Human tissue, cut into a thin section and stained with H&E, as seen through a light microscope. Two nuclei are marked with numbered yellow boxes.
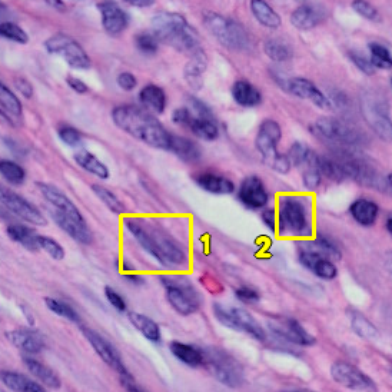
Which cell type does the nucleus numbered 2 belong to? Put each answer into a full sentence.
In this section, number 2 marks a lymphocyte.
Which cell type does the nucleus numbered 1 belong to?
The numeral 1 marks an endothelial cell in this section.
